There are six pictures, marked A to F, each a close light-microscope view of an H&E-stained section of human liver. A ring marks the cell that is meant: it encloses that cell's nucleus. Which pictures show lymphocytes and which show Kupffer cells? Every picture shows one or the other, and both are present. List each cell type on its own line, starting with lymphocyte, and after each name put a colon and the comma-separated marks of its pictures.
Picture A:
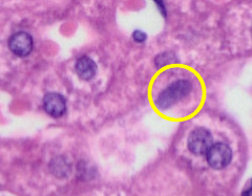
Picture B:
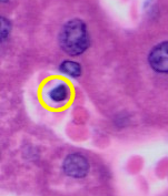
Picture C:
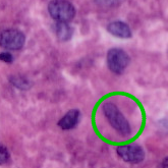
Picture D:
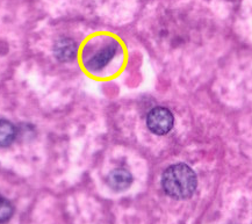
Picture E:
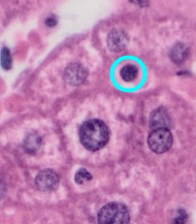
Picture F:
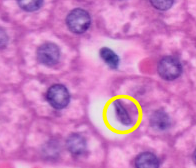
lymphocyte: B, E
Kupffer cell: A, C, D, F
